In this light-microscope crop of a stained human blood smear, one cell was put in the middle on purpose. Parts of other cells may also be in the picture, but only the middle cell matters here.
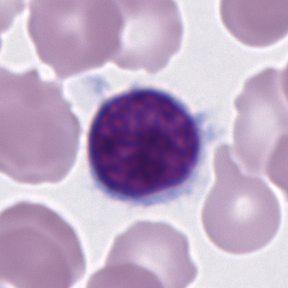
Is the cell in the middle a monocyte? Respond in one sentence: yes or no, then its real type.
No, the central cell qualifies as a hairy cell rather than as a monocyte.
